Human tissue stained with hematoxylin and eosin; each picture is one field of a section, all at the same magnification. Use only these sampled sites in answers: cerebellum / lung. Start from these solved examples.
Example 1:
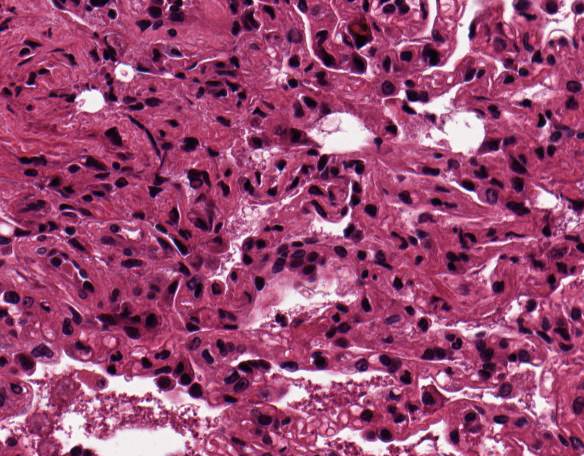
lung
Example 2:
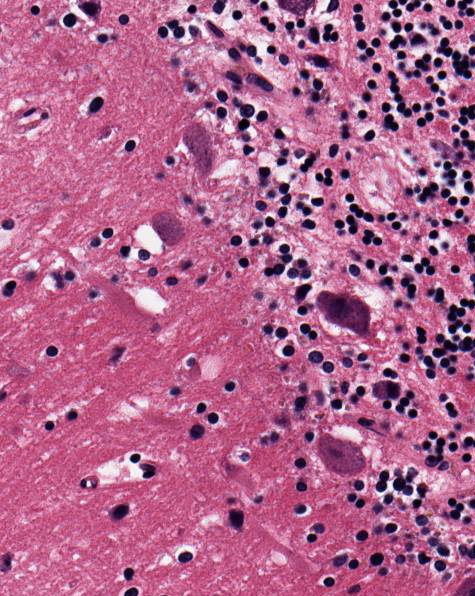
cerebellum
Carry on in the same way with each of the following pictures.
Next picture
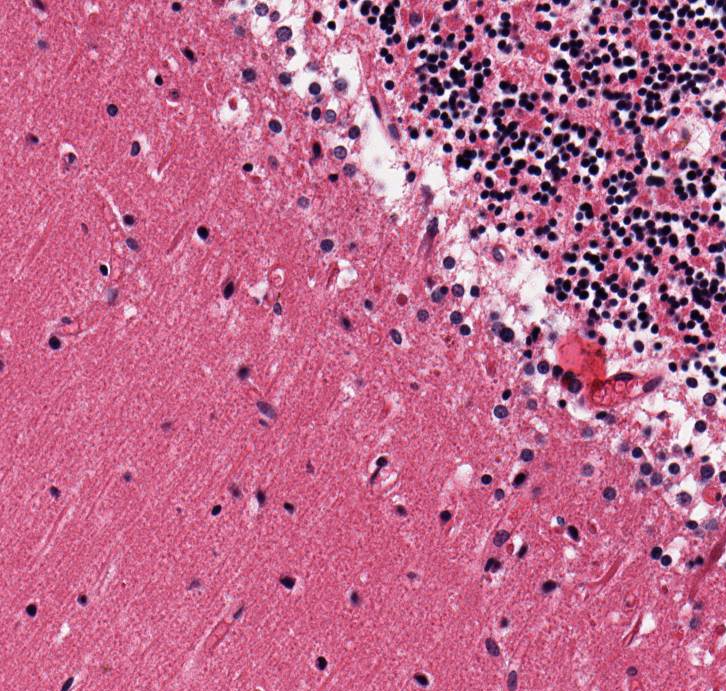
cerebellum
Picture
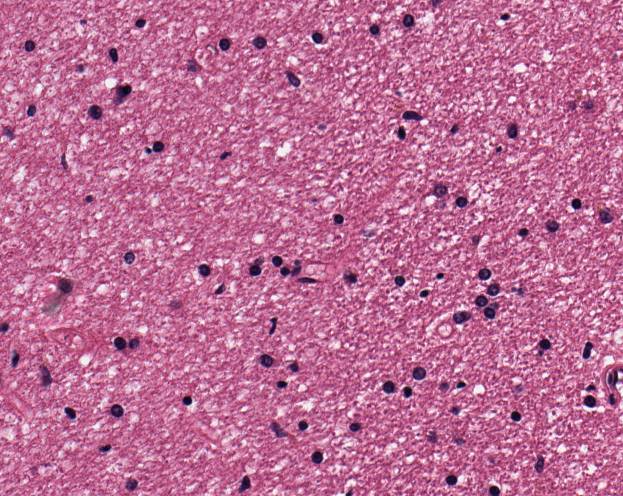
cerebellum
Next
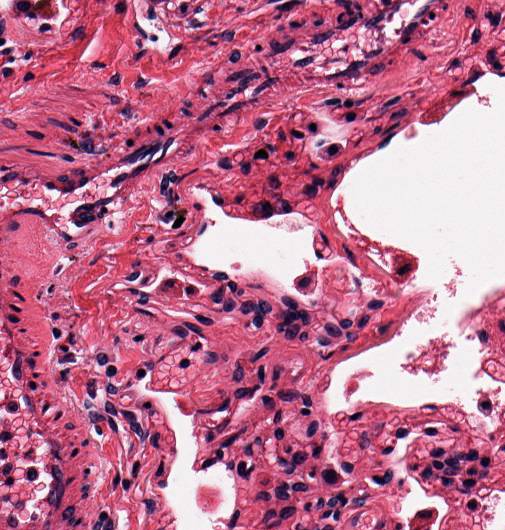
lung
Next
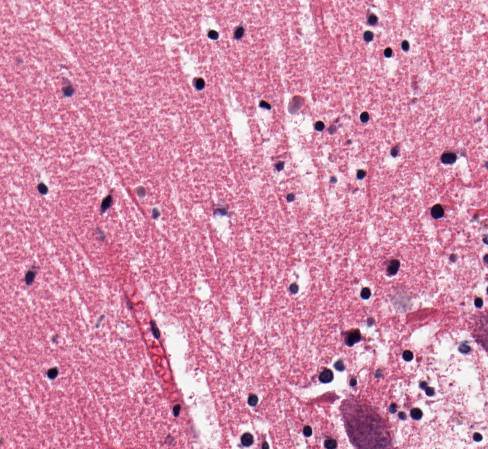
cerebellum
